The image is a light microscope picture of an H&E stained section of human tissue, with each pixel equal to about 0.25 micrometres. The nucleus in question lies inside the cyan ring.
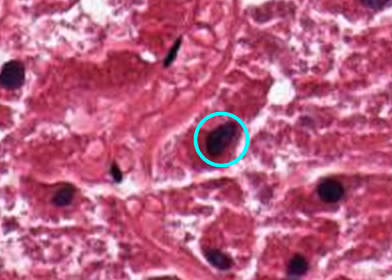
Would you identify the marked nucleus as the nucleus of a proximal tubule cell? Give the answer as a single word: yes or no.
yes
